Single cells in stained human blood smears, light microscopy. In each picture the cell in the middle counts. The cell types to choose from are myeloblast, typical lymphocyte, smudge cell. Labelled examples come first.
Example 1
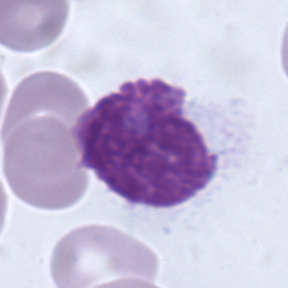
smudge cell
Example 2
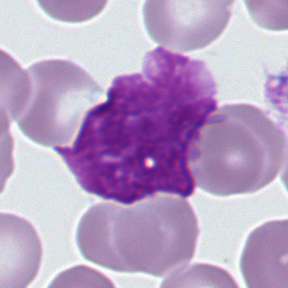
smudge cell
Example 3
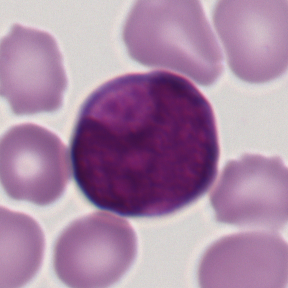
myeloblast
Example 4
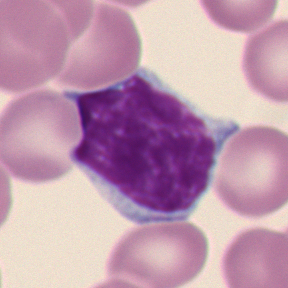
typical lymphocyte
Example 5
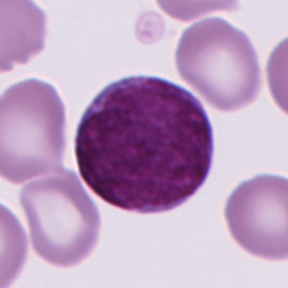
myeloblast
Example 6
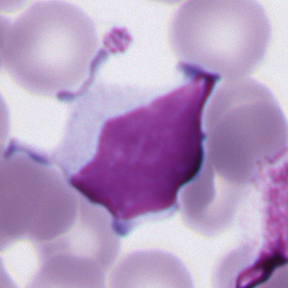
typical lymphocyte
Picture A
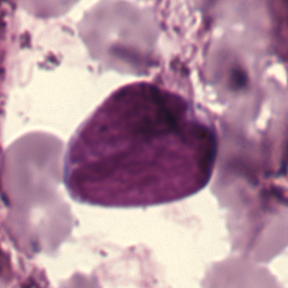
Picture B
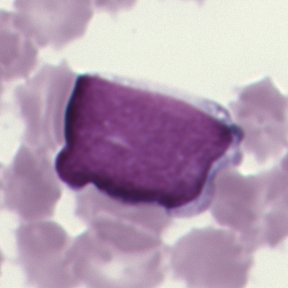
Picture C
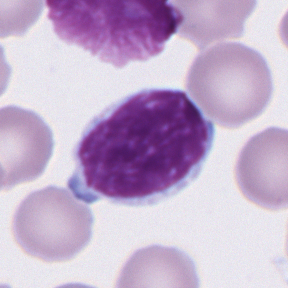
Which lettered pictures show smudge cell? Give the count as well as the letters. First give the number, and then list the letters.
0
